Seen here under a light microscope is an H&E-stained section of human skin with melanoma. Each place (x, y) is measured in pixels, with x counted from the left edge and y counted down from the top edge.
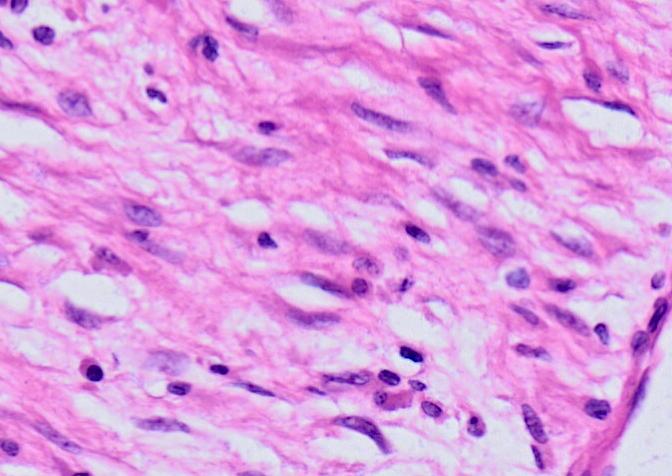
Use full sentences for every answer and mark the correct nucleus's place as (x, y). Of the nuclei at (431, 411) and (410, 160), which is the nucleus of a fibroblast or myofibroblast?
Among the two nuclei, the one lying at (410, 160) is part of a fibroblast or myofibroblast.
